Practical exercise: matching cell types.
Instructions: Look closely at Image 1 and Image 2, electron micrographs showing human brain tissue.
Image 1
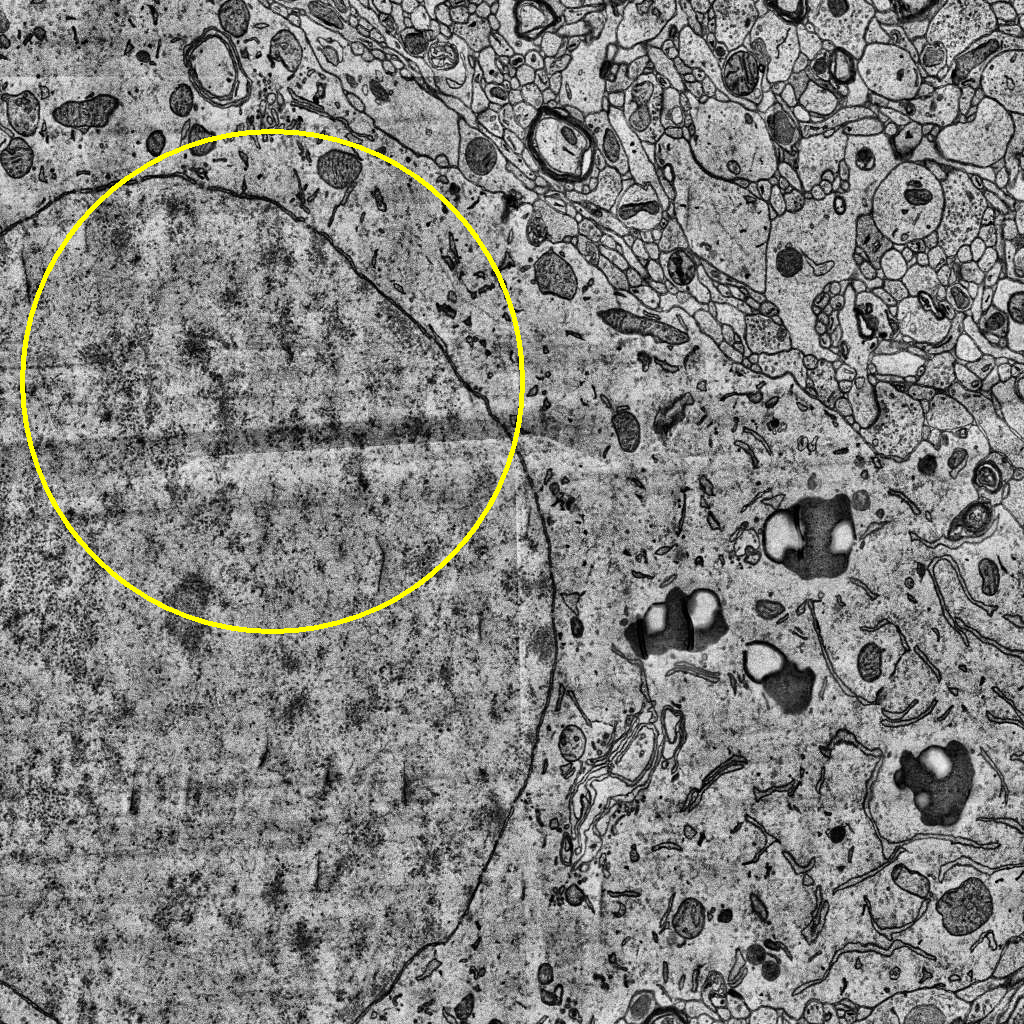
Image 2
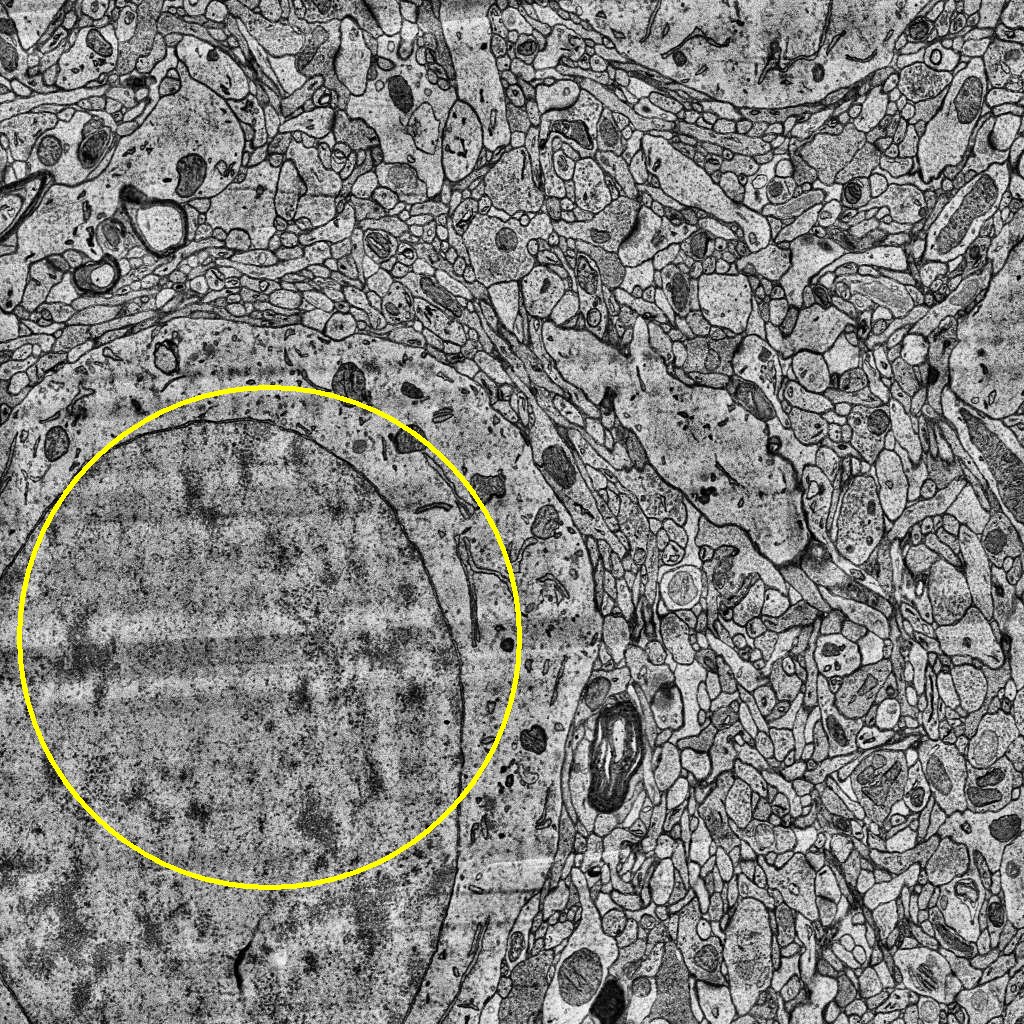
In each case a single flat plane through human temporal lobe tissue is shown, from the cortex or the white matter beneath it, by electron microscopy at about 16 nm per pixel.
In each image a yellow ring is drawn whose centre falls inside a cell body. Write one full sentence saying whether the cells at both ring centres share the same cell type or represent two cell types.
Across Image 1 and Image 2, the cells at the ring centres share the same cell type.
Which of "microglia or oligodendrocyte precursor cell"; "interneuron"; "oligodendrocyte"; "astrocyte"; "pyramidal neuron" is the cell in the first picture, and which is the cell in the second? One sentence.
Each of the two pictures has a pyramidal neuron at the ring centre.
